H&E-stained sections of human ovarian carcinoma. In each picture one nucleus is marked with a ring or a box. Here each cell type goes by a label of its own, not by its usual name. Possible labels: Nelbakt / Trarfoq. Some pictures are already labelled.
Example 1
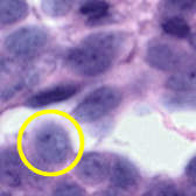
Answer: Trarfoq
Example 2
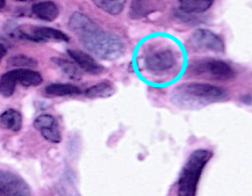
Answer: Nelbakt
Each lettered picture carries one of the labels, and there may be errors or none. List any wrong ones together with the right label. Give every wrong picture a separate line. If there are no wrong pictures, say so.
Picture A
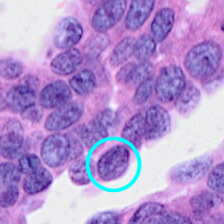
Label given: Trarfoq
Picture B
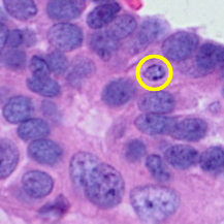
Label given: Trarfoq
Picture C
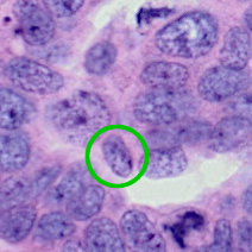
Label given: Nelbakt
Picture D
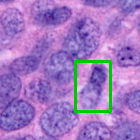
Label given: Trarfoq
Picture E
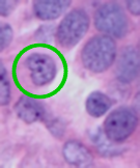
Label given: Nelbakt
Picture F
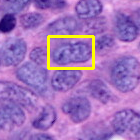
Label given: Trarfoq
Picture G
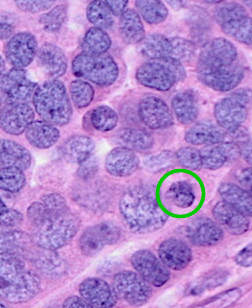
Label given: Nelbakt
B: change Trarfoq to Nelbakt
D: change Trarfoq to Nelbakt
